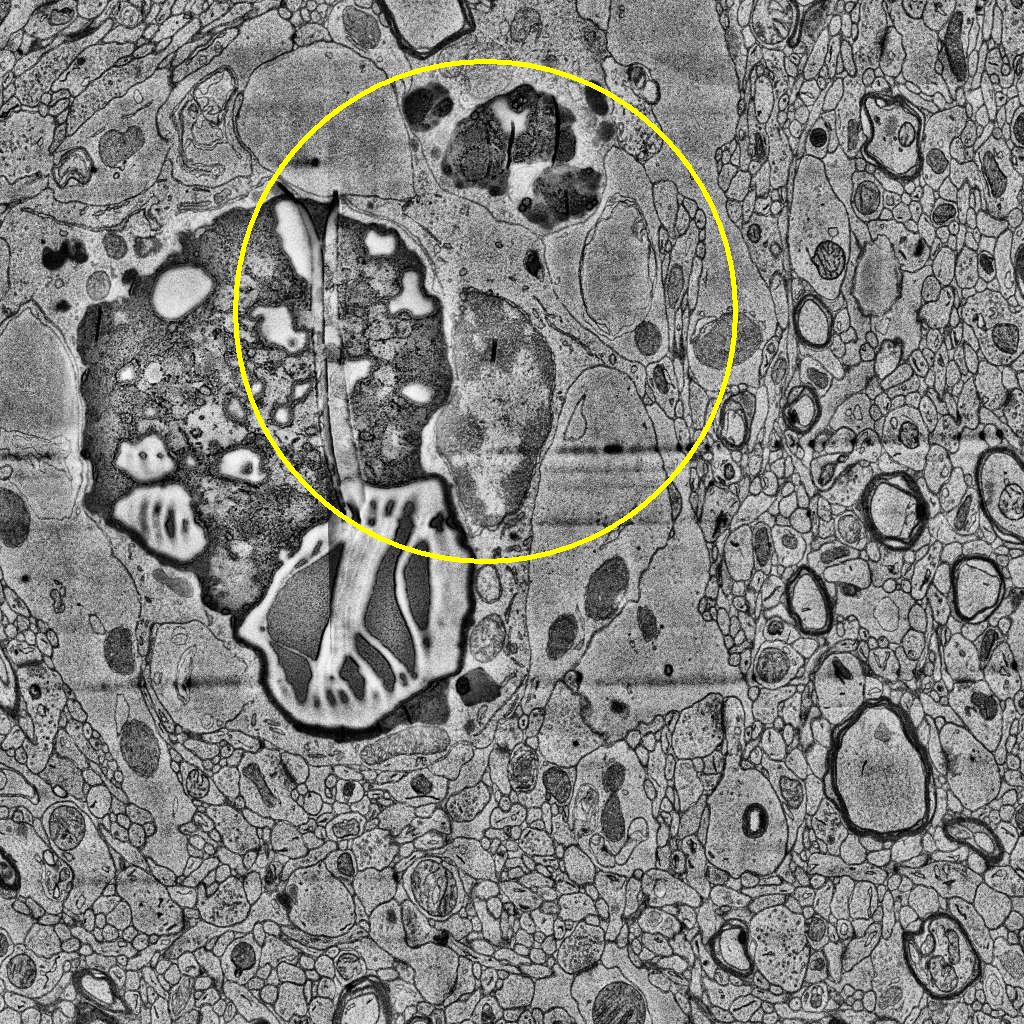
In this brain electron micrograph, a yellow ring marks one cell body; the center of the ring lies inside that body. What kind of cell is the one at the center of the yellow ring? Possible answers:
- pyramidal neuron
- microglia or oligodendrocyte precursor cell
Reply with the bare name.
microglia or oligodendrocyte precursor cell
